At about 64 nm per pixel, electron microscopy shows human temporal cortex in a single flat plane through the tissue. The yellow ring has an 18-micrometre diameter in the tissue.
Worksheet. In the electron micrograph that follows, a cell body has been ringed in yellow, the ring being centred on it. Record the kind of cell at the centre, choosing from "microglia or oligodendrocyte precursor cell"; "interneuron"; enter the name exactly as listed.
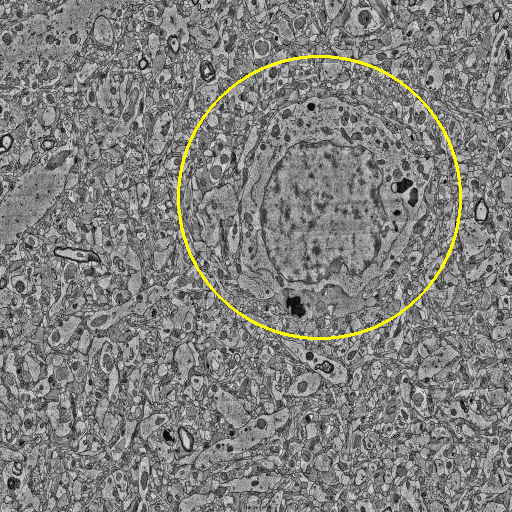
interneuron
